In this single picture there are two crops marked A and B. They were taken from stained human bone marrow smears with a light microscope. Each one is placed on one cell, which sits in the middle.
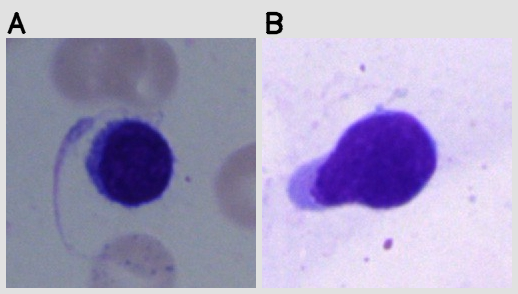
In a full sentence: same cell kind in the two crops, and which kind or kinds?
Yes, the two crops show lymphocytes, one cell each.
